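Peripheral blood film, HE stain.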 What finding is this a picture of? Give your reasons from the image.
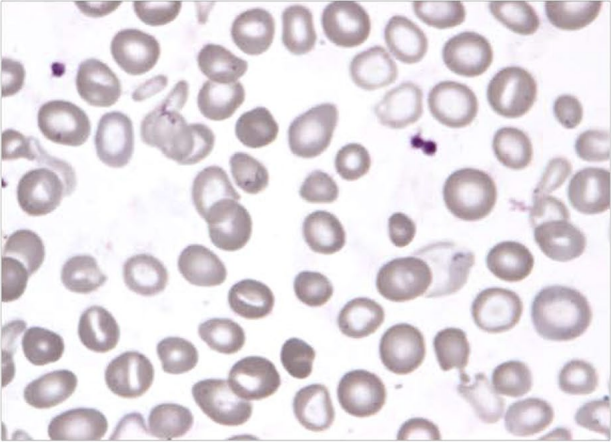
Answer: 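Anucleate red cells of clearly differing sizes lie side by side. That points to this answer: microcytic hypochromic, normocytic, and normochromic erythrocytes.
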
